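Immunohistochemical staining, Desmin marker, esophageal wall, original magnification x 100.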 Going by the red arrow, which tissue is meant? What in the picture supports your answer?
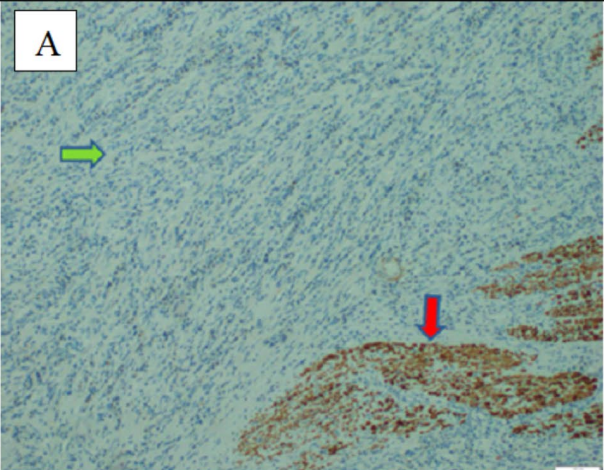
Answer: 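The arrow points at a band of fibres stained brown in the lower right. The brown fibres form bundles separated by thin pale stroma. The rest of the field is unstained blue. That points to this answer: smooth muscle fibers.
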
